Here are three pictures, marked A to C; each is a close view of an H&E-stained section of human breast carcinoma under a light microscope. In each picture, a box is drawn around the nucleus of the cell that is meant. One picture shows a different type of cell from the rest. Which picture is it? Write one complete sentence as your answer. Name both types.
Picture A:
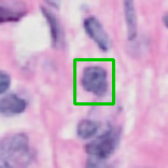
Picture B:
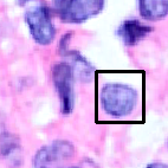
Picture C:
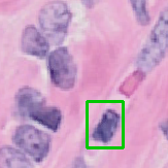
The others show lymphocytes, but picture B shows a carcinoma cell.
